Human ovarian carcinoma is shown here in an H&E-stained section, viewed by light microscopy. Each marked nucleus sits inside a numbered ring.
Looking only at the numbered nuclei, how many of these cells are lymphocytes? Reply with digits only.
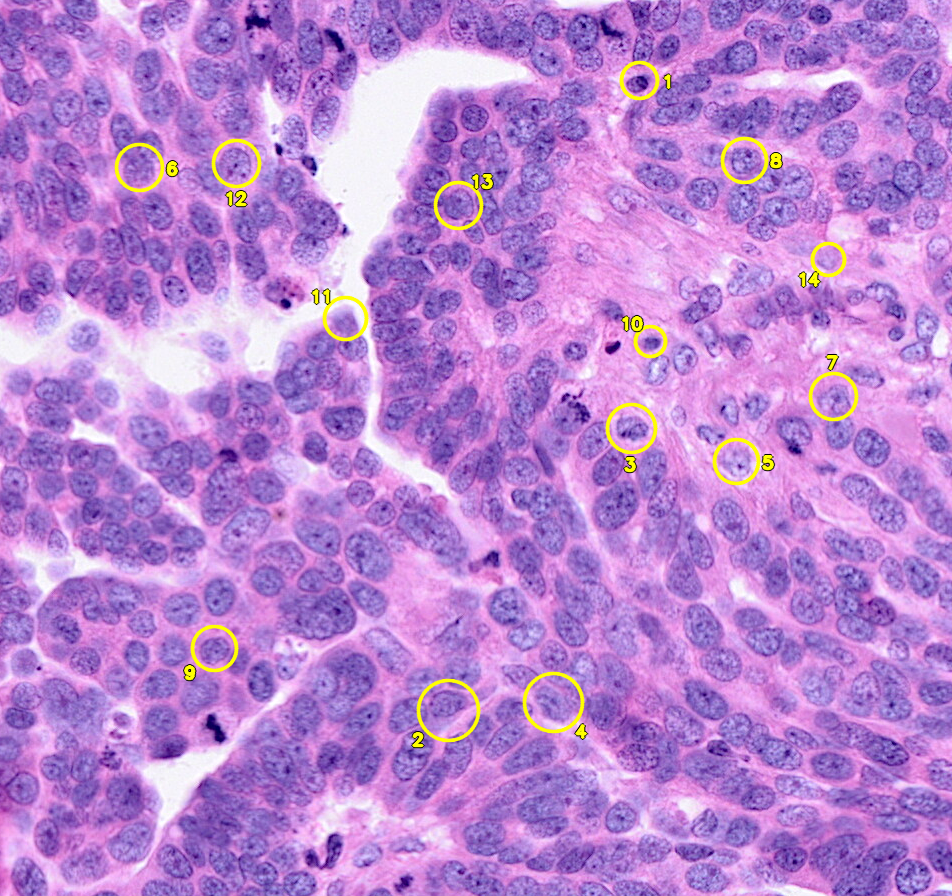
1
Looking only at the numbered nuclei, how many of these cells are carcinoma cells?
8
